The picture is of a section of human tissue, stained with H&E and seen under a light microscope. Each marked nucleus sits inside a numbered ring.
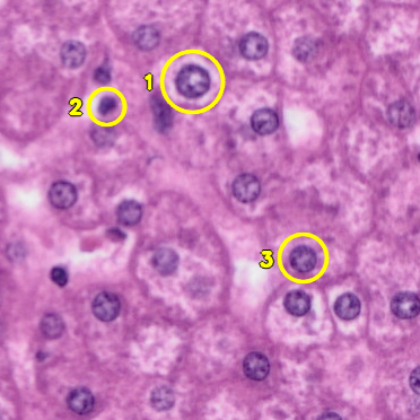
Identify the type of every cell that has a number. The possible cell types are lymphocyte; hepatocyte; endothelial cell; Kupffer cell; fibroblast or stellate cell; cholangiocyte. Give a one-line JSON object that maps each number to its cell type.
{"1": "hepatocyte", "2": "lymphocyte", "3": "hepatocyte"}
